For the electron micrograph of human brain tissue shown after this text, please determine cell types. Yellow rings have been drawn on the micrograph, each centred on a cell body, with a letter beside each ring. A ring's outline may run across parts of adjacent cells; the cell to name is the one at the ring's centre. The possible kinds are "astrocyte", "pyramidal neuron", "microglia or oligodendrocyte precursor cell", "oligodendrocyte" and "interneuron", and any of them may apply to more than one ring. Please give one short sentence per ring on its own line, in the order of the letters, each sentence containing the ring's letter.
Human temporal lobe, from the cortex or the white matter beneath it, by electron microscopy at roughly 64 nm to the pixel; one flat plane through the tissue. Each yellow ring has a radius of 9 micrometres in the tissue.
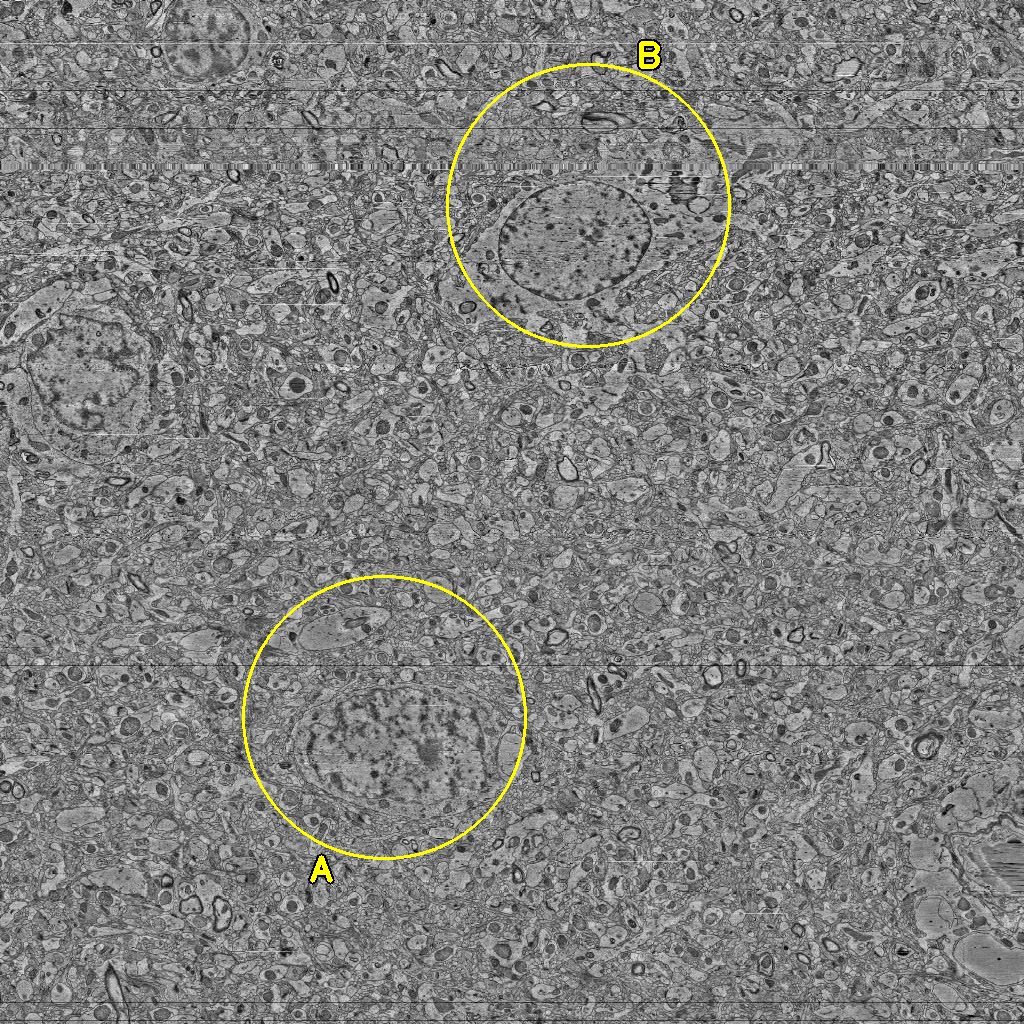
Ring A is set around an interneuron.
Ring B is set around an astrocyte.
